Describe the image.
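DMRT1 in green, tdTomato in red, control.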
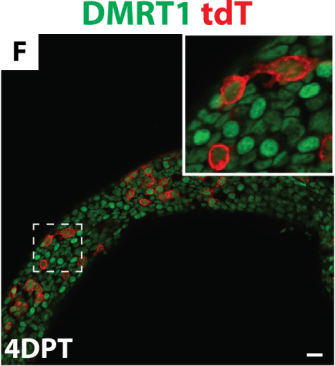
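This is a wholemount view of a seminiferous tubule, with a dense sheet of round to oval green-stained nuclei filling the tubule. A minority of cells is outlined in red, appearing as rings around their cell membranes. These red-outlined cells lie scattered, singly, in pairs and in small groups among the green nuclei. In the enlarged inset each red ring encloses a green-stained nucleus, so the outlined cells share the nuclear staining of their neighbours.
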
